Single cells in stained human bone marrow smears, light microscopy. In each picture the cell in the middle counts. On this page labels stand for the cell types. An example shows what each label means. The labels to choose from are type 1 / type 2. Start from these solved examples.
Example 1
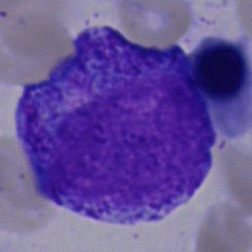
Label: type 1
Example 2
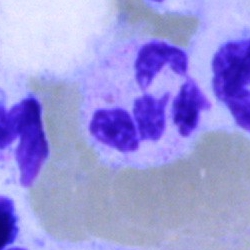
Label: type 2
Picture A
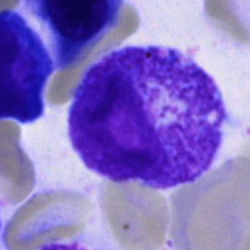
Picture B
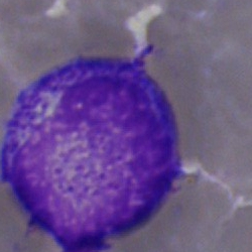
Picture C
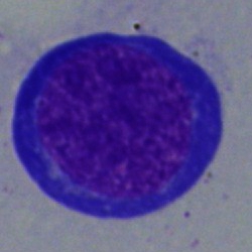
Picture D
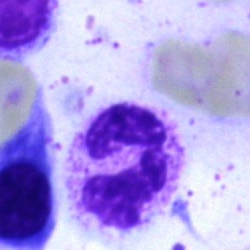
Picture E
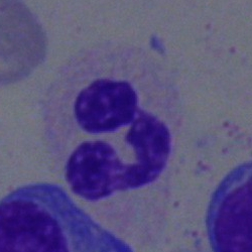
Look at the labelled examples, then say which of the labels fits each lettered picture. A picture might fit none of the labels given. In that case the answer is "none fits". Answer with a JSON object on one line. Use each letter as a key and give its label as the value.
{"A": "type 1", "B": "type 1", "C": "none fits", "D": "type 2", "E": "type 2"}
